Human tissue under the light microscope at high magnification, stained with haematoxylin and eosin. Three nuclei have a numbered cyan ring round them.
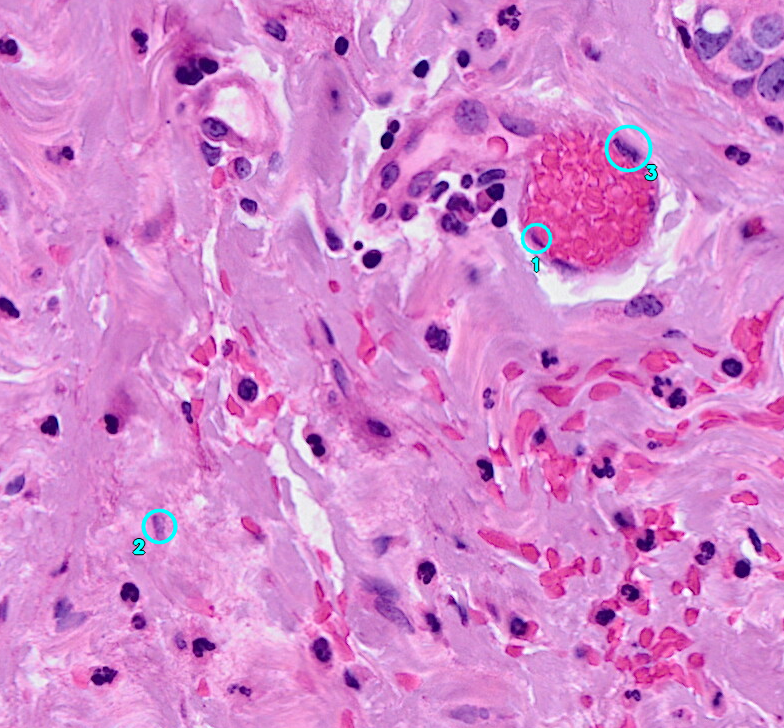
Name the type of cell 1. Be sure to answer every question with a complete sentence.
The one numbered 1 among the marked cells is an endothelial cell.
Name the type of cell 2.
The cell marked with number 2 is a fibroblast.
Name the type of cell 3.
Corresponding to an endothelial cell is the cell labelled 3.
